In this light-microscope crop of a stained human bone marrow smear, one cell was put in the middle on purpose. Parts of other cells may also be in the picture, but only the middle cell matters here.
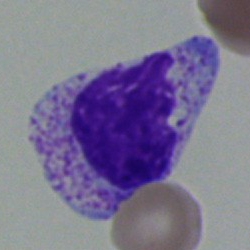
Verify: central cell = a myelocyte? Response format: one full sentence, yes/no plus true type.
Yes, the cell in the middle is a myelocyte.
